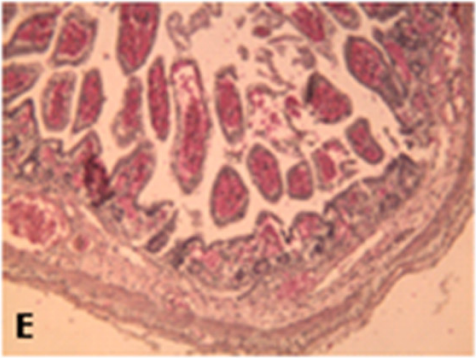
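This is small intestine whose mucosa is injured. Instead of tall slender fingers, the villi are short, swollen and rounded, cut as separate oval profiles lying in the lumen. Each has a pink-red core edged by a thin darker rim of epithelium, and in places the lining appears lifted away from the core. Between the villi the lumen holds loose pale debris. Near the base the crypt layer is thin and irregular, and the outer wall is a pale, thin band.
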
